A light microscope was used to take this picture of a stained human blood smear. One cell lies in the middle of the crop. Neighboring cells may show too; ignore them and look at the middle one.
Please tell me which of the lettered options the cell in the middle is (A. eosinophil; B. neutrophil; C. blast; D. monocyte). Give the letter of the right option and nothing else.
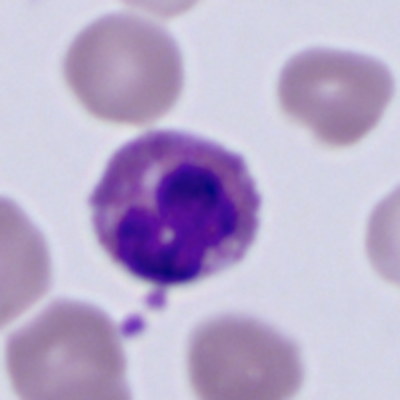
A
